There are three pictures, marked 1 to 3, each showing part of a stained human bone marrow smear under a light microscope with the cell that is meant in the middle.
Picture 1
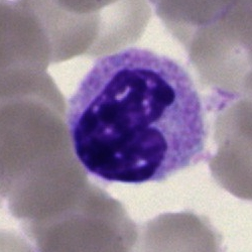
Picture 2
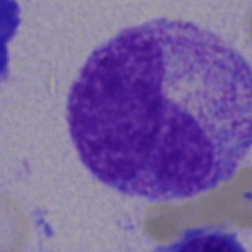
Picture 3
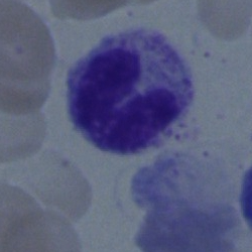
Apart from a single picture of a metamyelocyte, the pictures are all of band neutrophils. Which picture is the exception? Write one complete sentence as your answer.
The picture with the metamyelocyte is 2.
